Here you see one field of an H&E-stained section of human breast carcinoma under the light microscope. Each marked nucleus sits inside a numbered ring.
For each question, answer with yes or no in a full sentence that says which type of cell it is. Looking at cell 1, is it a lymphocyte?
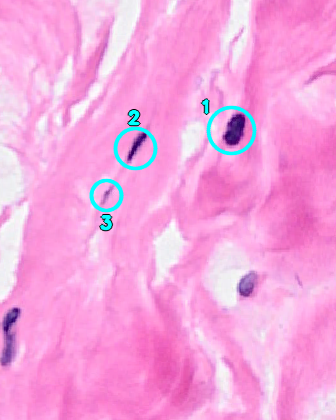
Yes, number 1 corresponds to a lymphocyte.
